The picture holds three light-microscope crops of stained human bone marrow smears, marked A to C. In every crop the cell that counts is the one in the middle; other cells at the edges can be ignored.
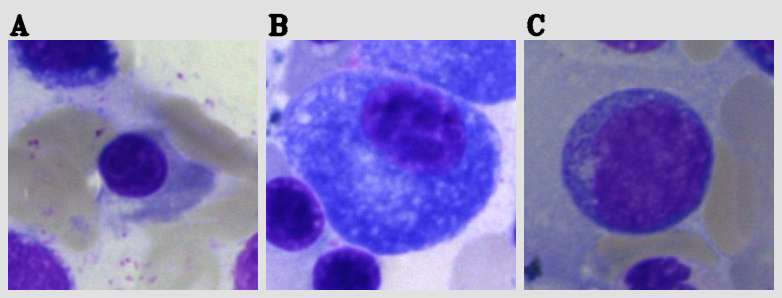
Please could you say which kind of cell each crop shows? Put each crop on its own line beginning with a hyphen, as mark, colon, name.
- A: erythroblast
- B: plasma cell
- C: blast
